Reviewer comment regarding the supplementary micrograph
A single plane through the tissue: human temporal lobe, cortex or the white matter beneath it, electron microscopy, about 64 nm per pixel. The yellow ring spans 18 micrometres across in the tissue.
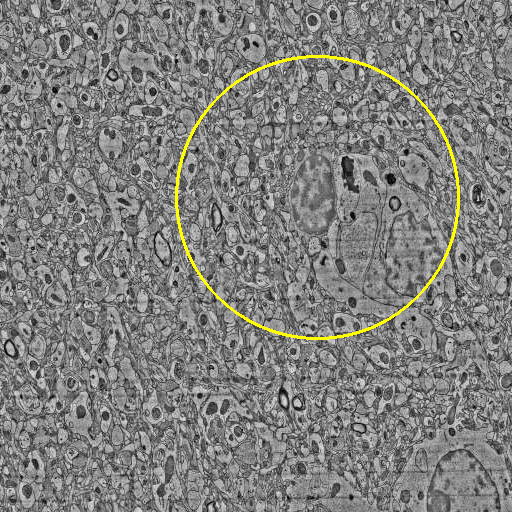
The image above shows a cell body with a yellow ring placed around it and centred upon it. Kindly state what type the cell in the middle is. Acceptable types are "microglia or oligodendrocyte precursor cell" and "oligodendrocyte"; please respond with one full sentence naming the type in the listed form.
In the image above, the cell on which the yellow ring is centred is an oligodendrocyte.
